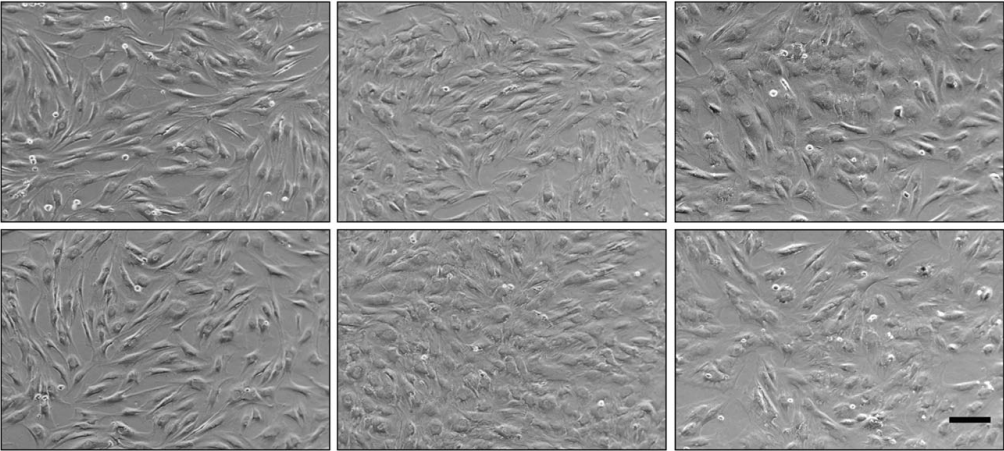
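In the fields on the left most cells are elongated and spindle-shaped with long tapering ends, lying roughly parallel in loose streams. In the middle and right fields the cells are broader and more flattened, with polygonal or irregular outlines and a denser, less oriented arrangement.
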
